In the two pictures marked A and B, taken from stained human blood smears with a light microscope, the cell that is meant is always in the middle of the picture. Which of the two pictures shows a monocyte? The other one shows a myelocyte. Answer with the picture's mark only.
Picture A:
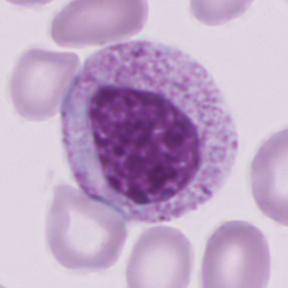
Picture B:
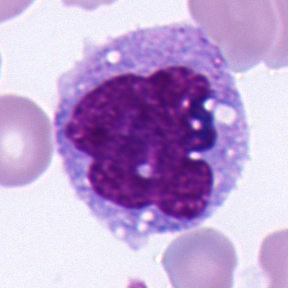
B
